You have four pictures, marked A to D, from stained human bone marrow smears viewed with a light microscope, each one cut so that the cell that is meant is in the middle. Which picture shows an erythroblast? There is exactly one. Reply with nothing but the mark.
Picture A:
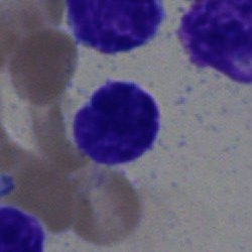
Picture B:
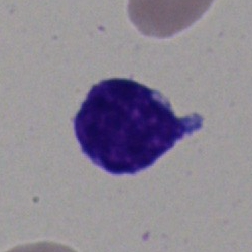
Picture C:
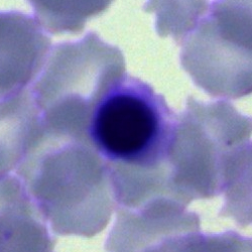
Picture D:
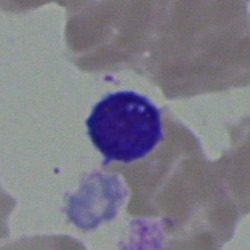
C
